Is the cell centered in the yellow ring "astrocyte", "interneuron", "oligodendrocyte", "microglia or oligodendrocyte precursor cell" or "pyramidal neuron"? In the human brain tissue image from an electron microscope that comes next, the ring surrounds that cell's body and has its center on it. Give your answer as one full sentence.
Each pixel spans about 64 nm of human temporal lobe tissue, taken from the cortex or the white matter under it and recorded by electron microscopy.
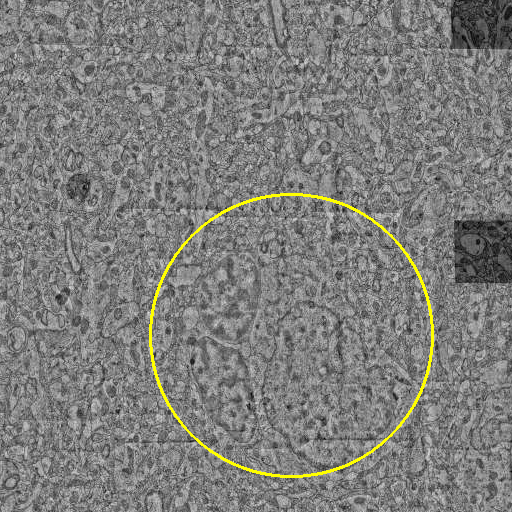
The cell at the center of the yellow ring is an interneuron in the micrograph.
